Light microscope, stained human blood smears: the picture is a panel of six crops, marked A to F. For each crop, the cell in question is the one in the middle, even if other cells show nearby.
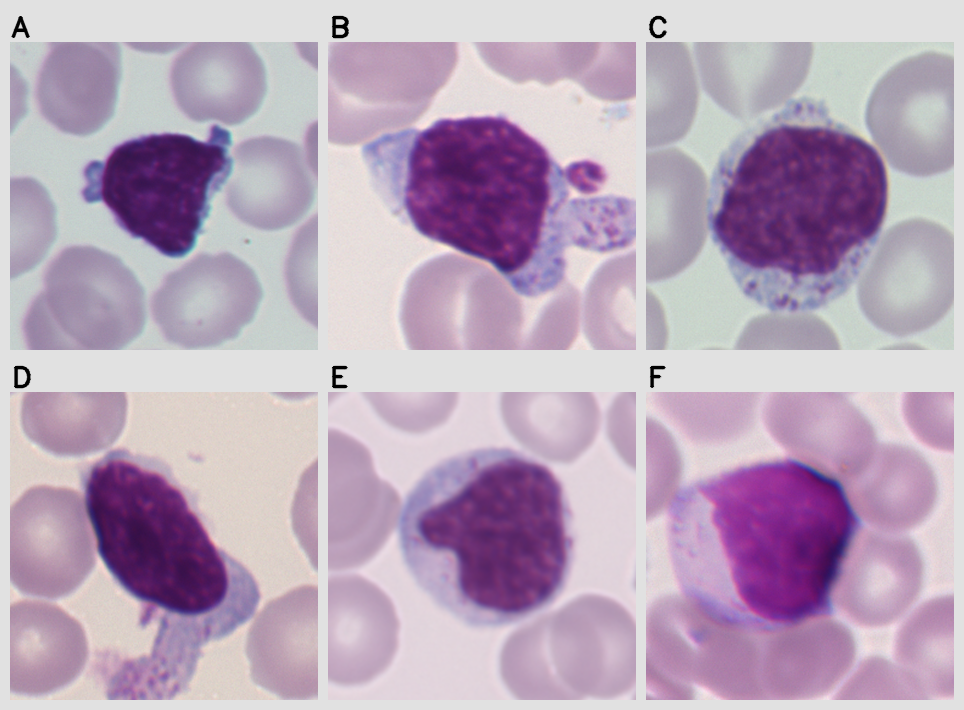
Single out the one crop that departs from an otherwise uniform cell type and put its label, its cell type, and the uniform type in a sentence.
Crop A contains a typical lymphocyte, setting it apart from the other crops, which all contain large granular lymphocytes.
